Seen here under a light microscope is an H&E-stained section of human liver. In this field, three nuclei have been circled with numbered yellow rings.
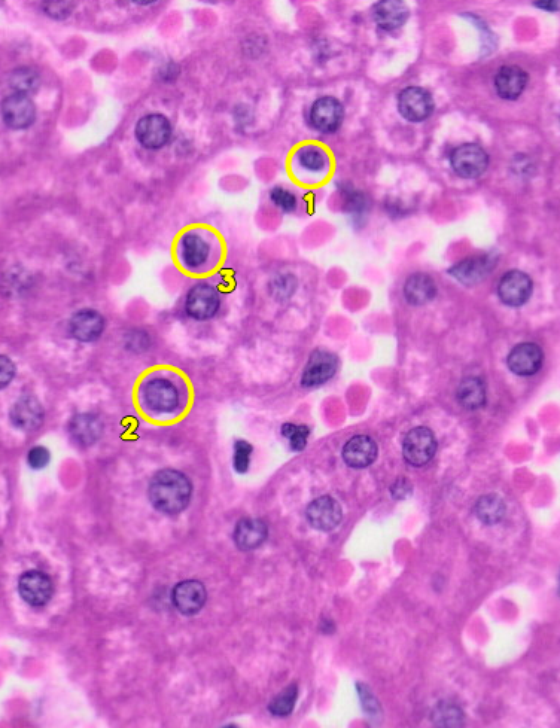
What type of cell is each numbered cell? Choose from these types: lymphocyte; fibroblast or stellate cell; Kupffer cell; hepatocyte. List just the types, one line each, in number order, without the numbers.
fibroblast or stellate cell
hepatocyte
fibroblast or stellate cell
